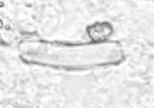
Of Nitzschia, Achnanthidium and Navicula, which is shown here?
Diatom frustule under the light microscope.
Achnanthidium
